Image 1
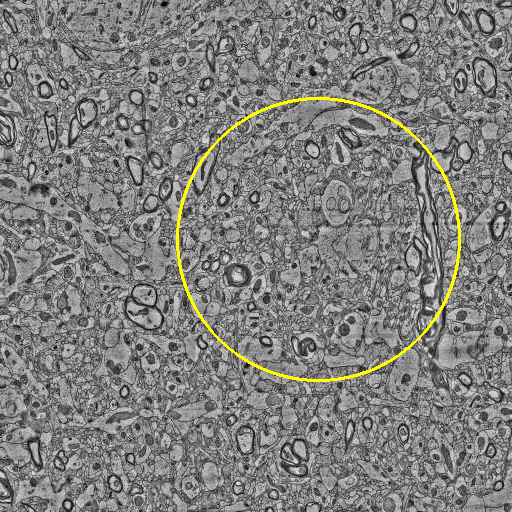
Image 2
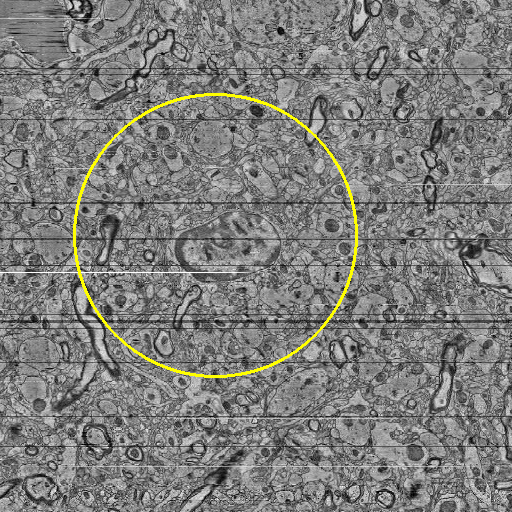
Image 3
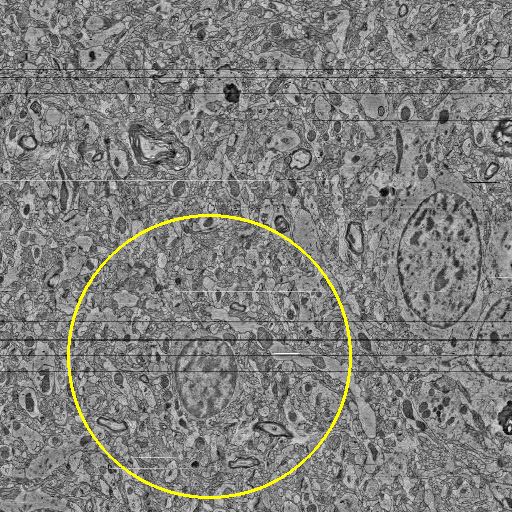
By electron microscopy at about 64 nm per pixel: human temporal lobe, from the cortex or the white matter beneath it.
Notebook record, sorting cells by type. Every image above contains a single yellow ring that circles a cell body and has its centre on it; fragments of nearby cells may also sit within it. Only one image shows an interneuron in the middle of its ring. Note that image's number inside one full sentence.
For image 1, the cell in the middle of its yellow ring is the match.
